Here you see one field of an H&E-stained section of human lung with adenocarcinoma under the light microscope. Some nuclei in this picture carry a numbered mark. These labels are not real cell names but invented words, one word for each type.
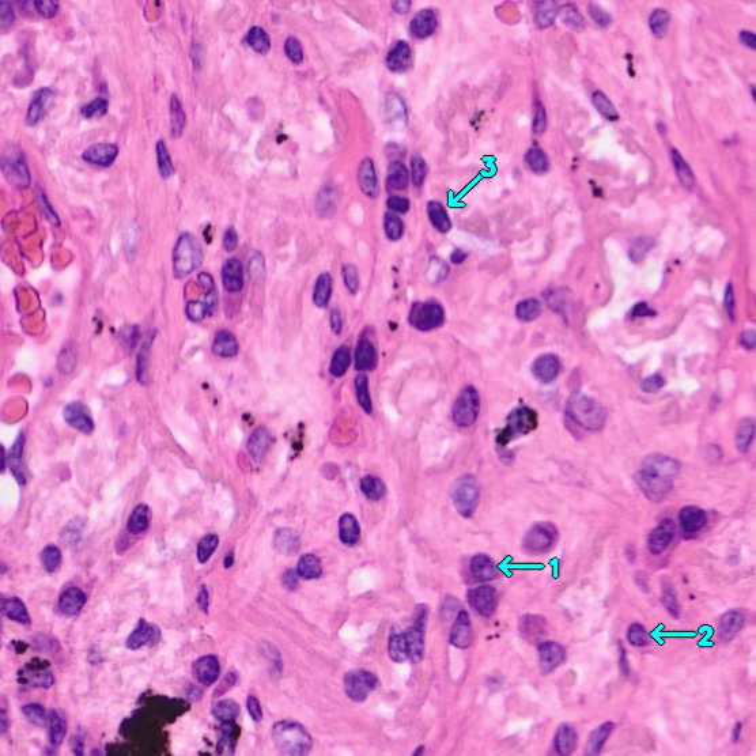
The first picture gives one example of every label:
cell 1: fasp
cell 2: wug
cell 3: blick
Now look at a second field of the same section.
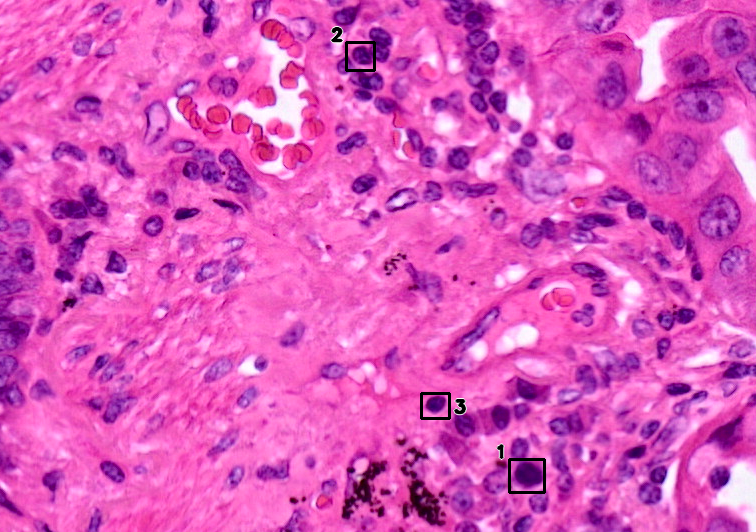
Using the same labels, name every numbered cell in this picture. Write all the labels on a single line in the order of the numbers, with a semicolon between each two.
fasp; blick; blick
